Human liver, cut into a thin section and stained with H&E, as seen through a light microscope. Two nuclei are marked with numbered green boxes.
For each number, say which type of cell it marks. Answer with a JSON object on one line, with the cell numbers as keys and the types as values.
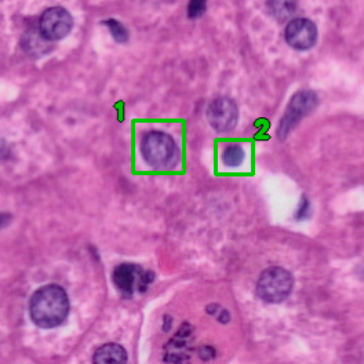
{"1": "hepatocyte", "2": "lymphocyte"}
